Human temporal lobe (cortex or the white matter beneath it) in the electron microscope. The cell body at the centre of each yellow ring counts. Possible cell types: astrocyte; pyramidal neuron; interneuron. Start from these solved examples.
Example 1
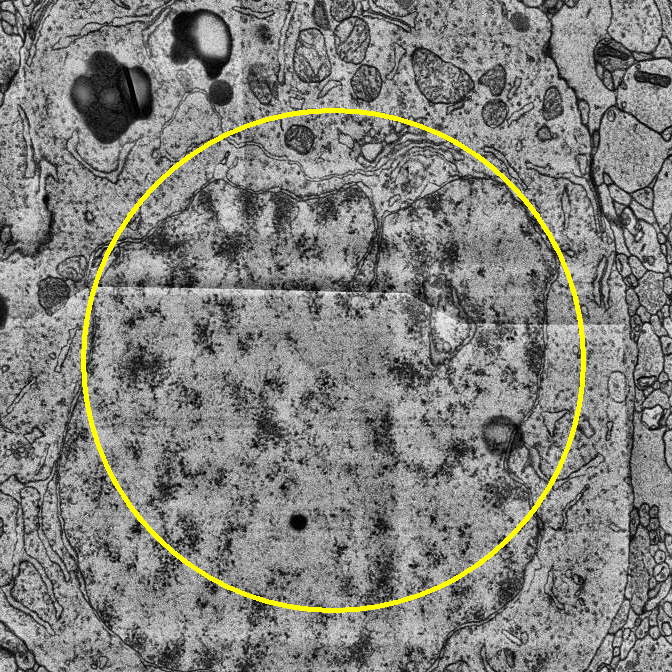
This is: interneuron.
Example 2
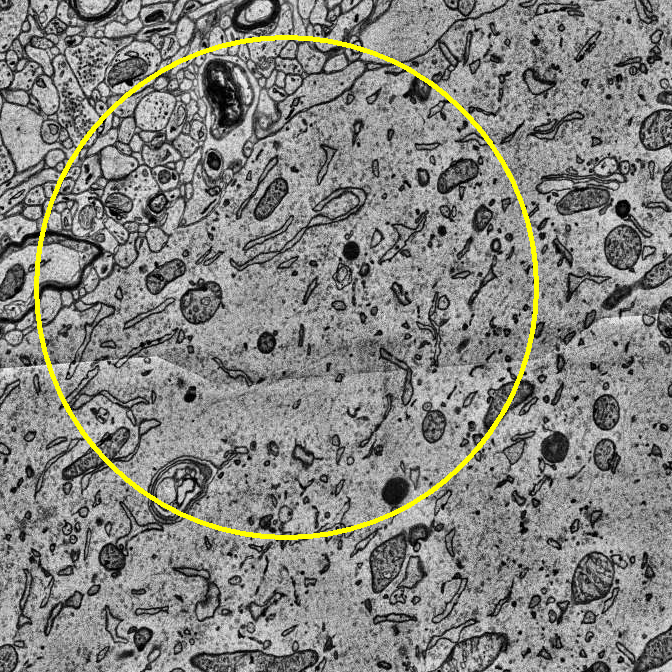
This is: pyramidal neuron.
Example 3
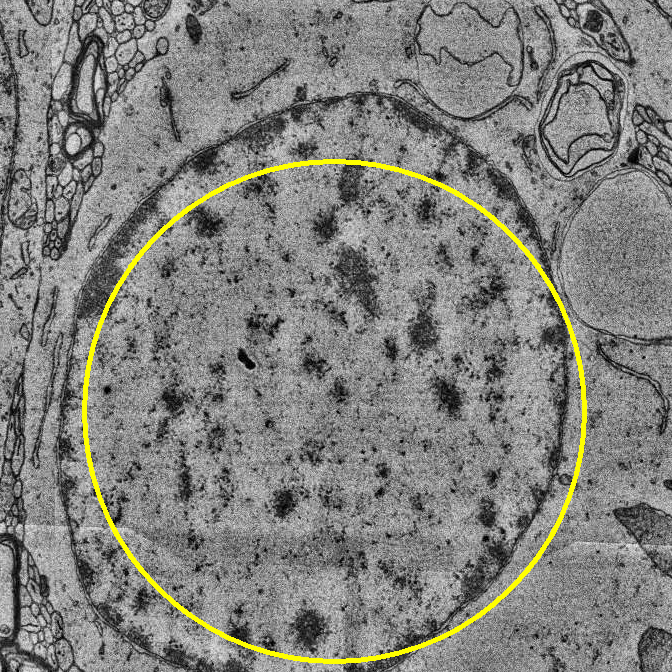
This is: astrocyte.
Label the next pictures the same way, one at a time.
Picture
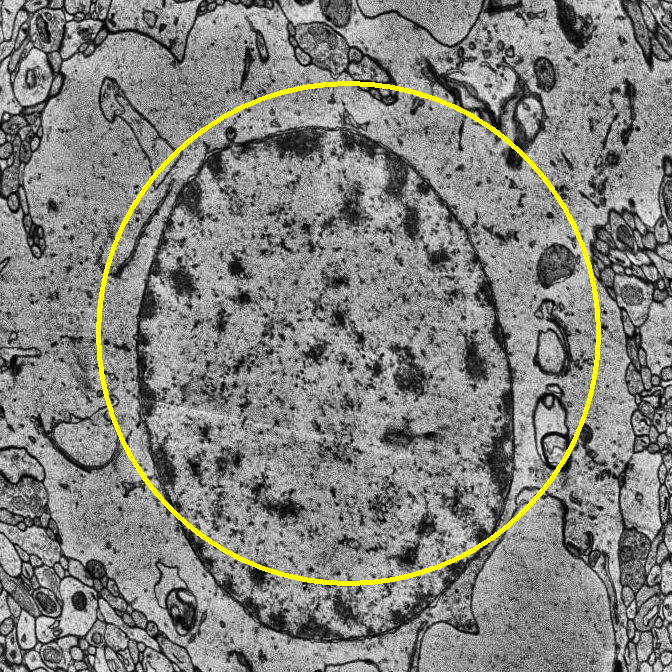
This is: astrocyte.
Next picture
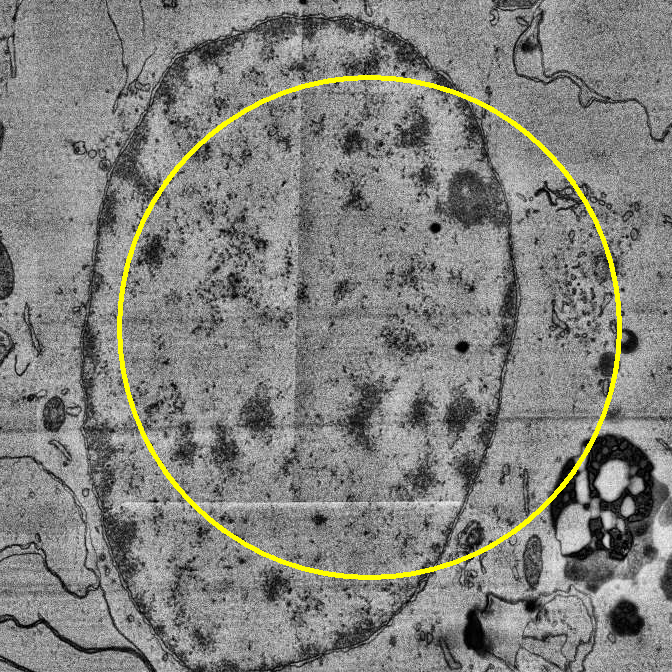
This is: astrocyte.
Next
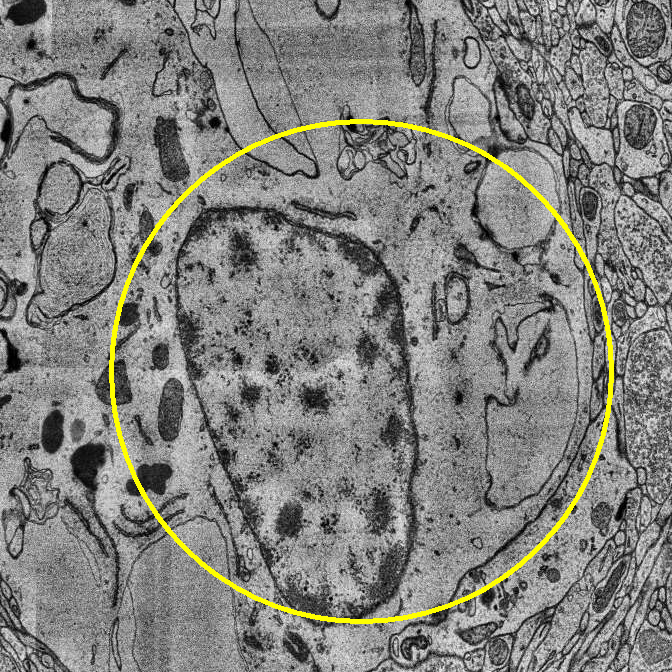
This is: astrocyte.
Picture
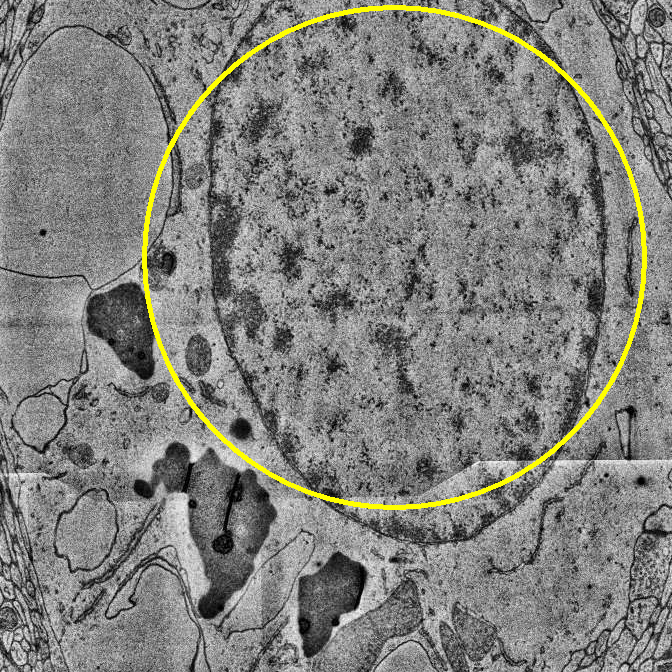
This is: astrocyte.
